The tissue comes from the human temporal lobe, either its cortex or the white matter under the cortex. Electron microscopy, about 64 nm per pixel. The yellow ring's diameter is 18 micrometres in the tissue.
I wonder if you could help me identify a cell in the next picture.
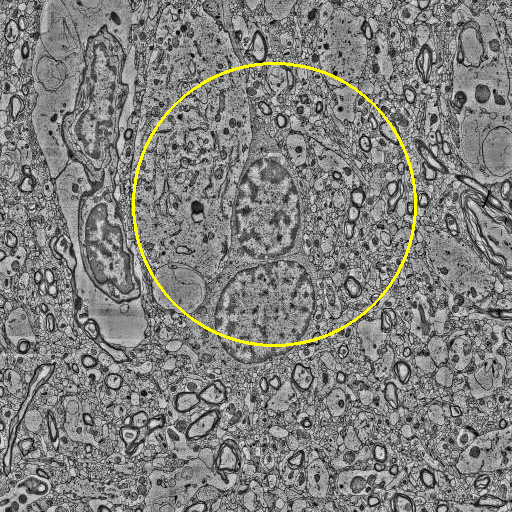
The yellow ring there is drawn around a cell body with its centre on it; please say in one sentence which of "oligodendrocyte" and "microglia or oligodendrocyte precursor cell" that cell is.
The yellow ring is centred on an oligodendrocyte.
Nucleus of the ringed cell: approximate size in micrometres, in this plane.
The nucleus is approximately 6 micrometers long by 4 micrometers wide in this plane.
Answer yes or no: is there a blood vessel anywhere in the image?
Yes, a vessel shows somewhere in the image.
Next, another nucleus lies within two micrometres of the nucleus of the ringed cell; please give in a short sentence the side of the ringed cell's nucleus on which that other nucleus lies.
That other nucleus lies below it.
